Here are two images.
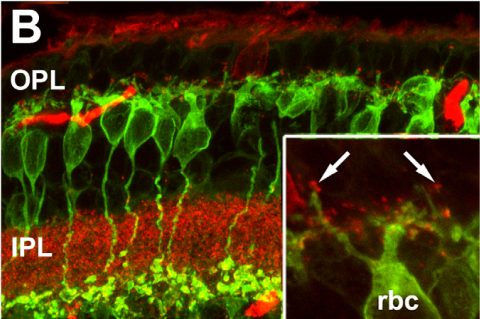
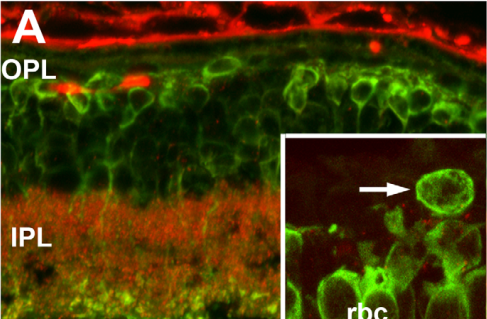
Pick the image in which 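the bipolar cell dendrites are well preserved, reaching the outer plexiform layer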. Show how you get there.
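The first image. Second image: green cell bodies show few, faint processes extending upward toward the outer plexiform layer. First image: many green cells send clear, branching dendrites up into the outer plexiform layer.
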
